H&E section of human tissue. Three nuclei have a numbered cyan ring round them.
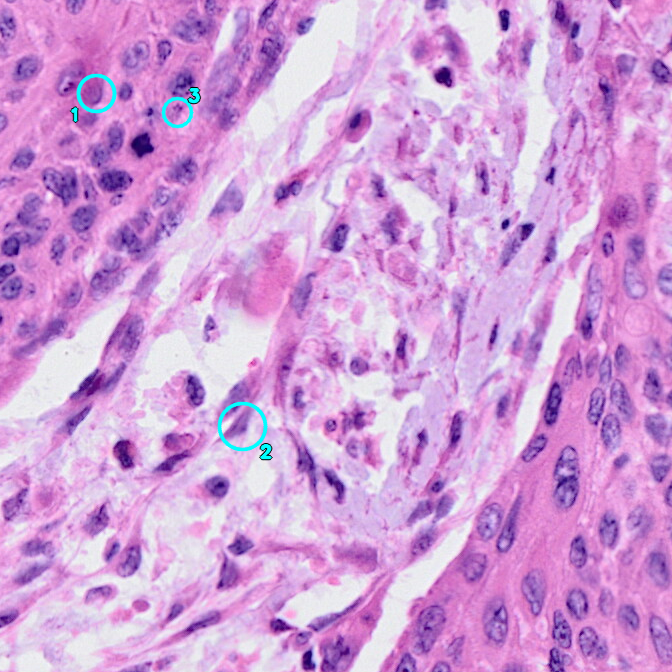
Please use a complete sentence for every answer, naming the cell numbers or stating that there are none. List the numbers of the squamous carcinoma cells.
In short, the numbered cells 1 and 3 are squamous carcinoma cells.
